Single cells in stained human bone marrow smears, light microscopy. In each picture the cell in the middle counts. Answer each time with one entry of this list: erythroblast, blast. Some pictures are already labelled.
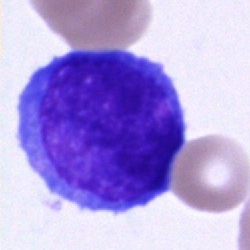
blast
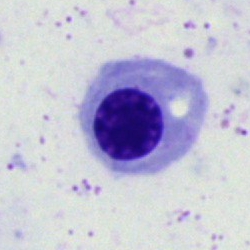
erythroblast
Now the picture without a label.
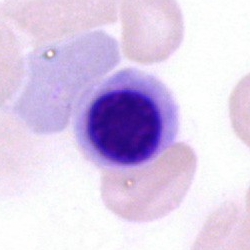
erythroblast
